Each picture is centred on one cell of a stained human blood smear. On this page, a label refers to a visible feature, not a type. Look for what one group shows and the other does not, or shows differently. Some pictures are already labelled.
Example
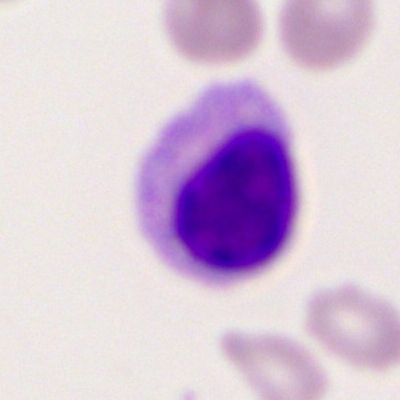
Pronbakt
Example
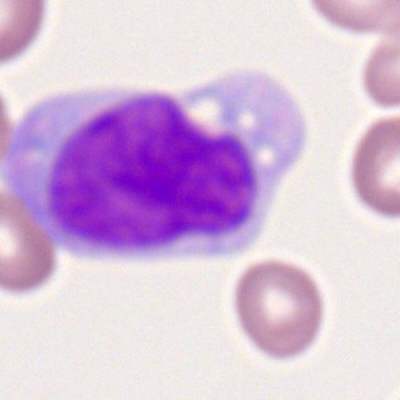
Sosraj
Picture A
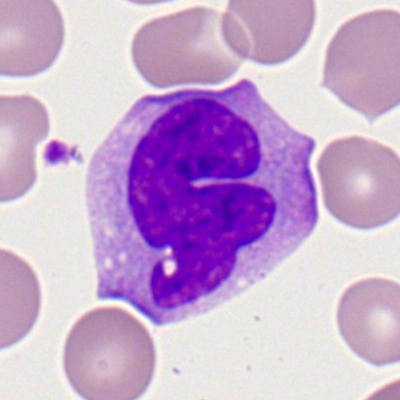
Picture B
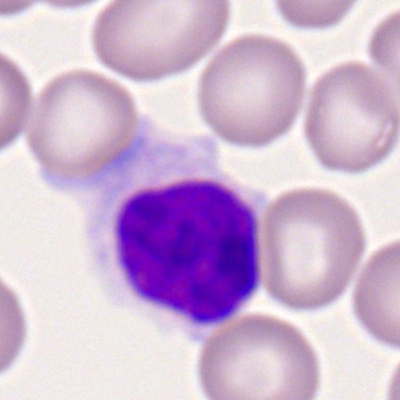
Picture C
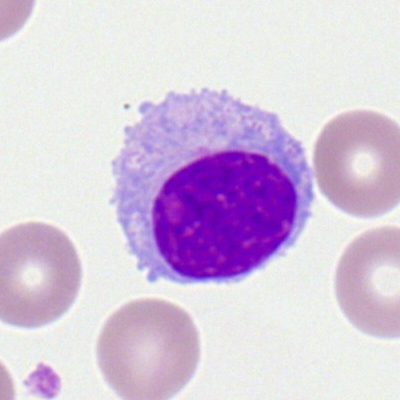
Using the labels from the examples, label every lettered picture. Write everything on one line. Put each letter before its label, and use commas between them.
A Pronbakt, B Pronbakt, C Pronbakt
